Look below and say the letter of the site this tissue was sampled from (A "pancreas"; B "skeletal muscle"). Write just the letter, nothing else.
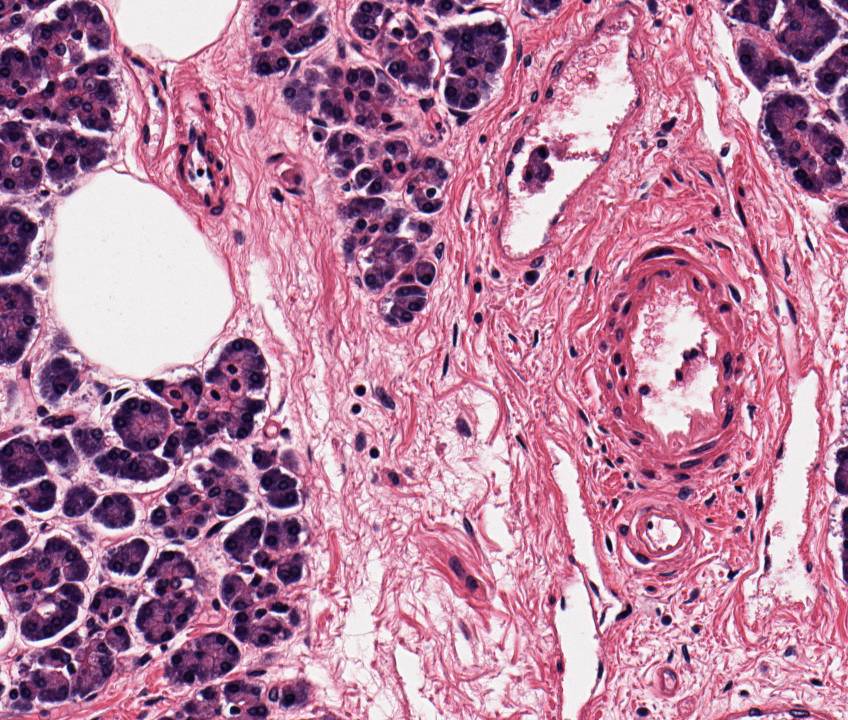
A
